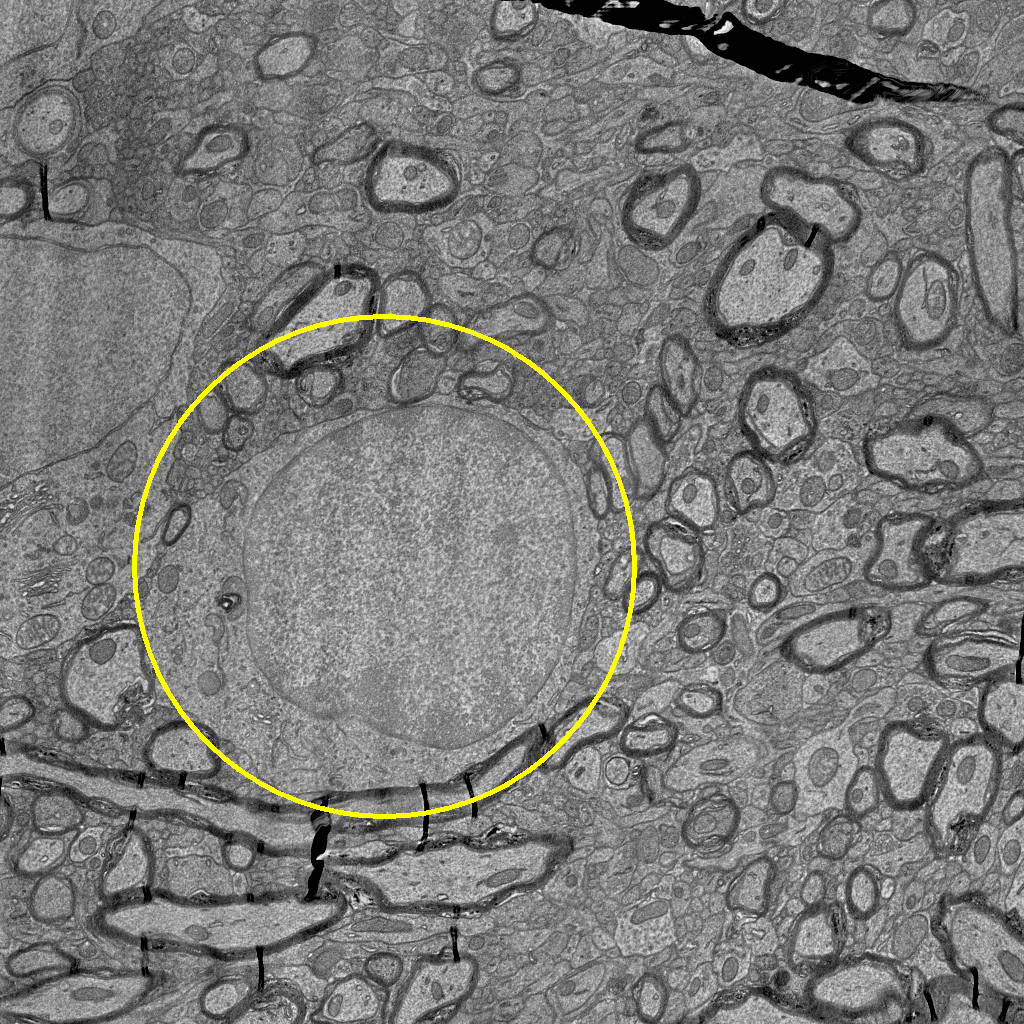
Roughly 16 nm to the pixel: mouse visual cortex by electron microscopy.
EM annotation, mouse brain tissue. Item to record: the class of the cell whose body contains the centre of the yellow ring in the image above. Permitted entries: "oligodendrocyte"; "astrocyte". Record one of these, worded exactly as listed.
oligodendrocyte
